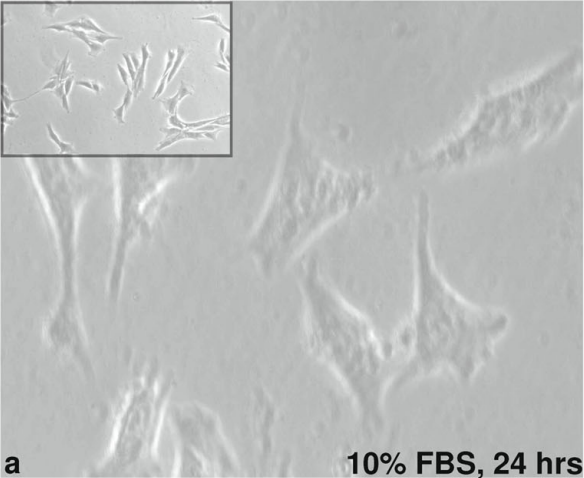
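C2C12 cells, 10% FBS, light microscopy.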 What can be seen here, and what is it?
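Scattered flat cells of triangular to spindle shape spread on the dish, each with a few short tapering processes and a faintly granular cytoplasm, lying apart from their neighbours. These are single, unfused muscle precursor cells, myoblasts.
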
